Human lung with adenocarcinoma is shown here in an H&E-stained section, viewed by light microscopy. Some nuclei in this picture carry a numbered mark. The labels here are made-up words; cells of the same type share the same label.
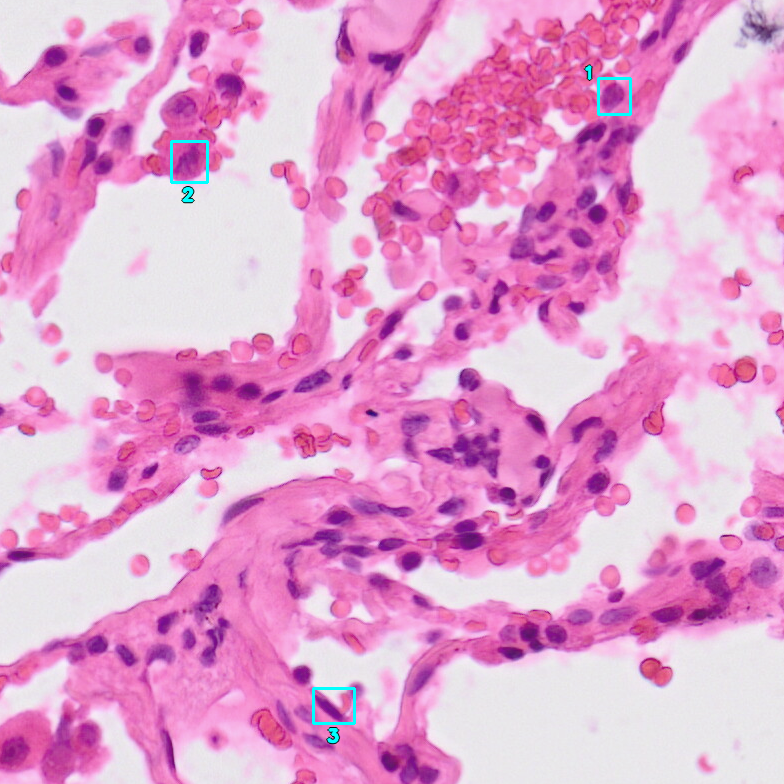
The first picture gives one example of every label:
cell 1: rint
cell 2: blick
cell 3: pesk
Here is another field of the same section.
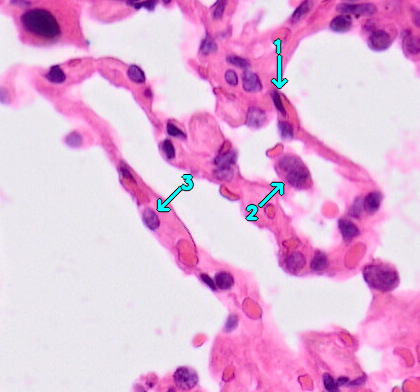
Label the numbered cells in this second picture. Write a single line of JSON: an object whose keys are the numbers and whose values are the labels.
{"1": "pesk", "2": "blick", "3": "rint"}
